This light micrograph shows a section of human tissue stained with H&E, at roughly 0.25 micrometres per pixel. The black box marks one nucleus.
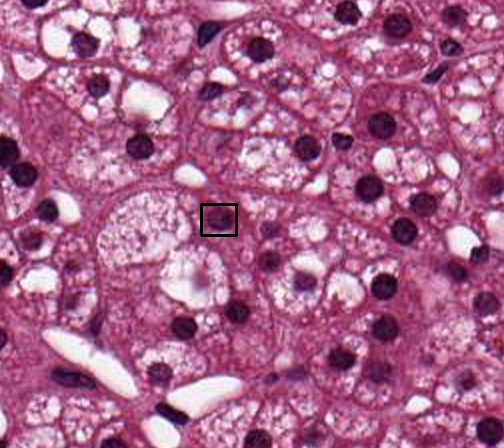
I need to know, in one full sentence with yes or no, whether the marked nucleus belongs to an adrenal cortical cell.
Yes, the marked nucleus is located in an adrenal cortical cell.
